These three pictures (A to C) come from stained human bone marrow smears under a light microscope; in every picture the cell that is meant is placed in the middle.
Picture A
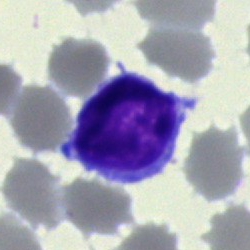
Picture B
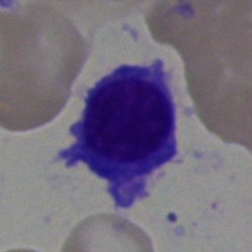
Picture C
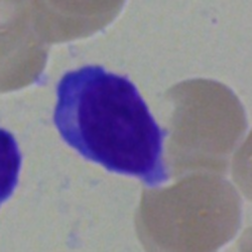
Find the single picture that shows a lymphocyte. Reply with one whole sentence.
Picture A is the one that shows the lymphocyte.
